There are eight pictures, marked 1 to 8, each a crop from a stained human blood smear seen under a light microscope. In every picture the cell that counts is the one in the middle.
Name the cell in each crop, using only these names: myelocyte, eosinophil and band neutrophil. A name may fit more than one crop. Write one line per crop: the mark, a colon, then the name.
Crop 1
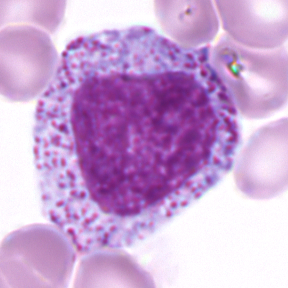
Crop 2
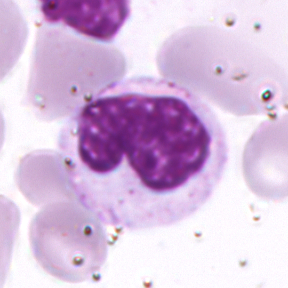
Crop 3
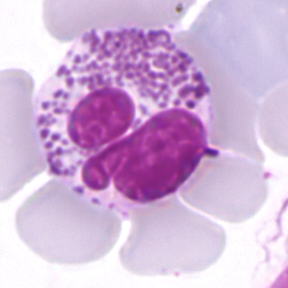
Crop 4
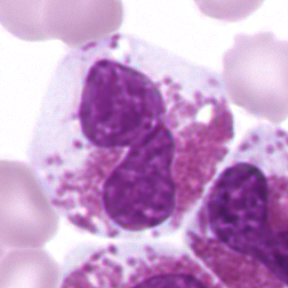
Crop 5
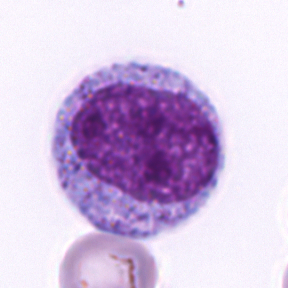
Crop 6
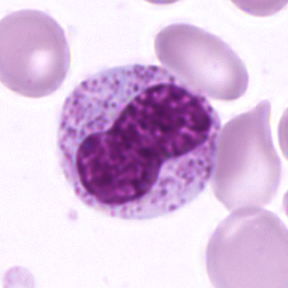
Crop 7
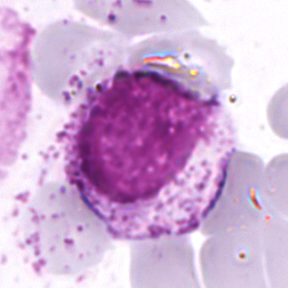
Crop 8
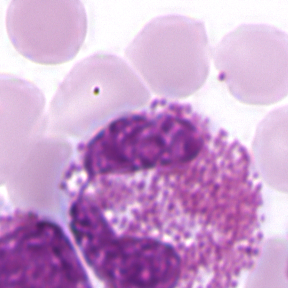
1: myelocyte
2: band neutrophil
3: eosinophil
4: eosinophil
5: myelocyte
6: band neutrophil
7: myelocyte
8: eosinophil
